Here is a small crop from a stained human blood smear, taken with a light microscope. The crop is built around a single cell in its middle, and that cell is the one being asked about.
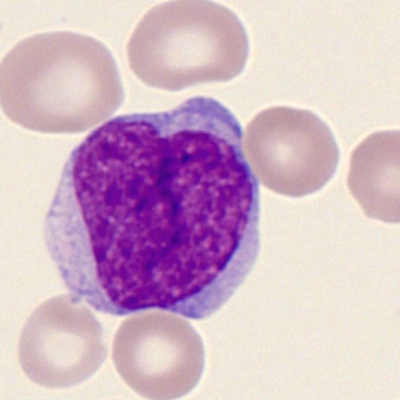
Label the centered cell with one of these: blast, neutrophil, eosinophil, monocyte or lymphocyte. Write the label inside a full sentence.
Answering briefly, the cell in the middle is a blast.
